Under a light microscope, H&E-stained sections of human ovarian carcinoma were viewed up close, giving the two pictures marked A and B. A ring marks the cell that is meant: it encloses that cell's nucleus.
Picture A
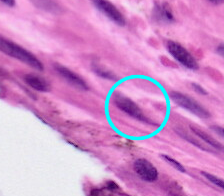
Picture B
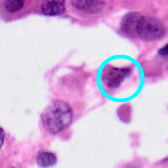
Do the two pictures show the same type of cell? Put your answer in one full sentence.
No, picture A shows a fibroblast and picture B shows a “macrophage or monocyte”.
